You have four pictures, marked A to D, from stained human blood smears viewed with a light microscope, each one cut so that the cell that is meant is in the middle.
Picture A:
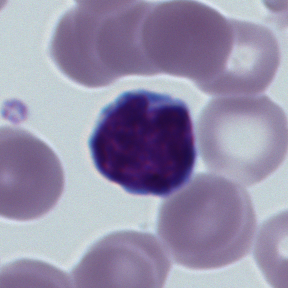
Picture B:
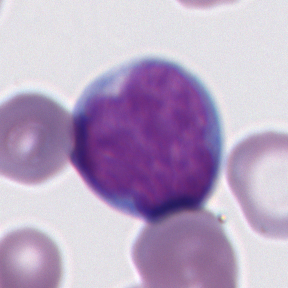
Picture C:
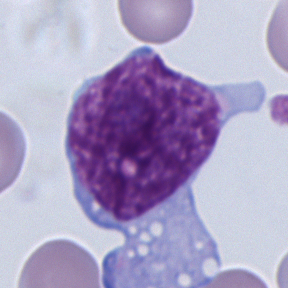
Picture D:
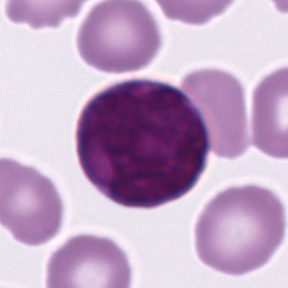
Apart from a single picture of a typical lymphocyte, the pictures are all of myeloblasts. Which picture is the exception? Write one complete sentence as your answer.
Picture A is the one that shows the typical lymphocyte.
